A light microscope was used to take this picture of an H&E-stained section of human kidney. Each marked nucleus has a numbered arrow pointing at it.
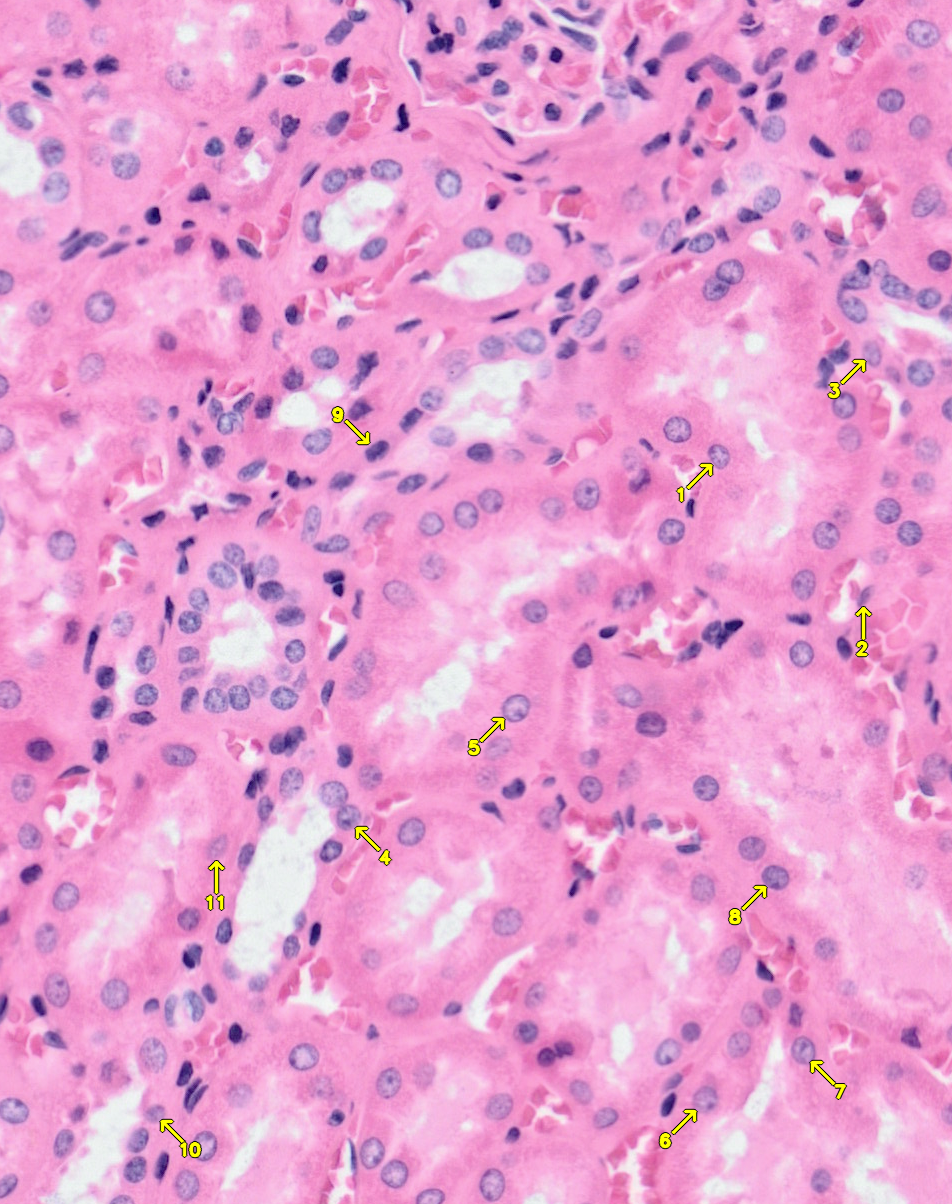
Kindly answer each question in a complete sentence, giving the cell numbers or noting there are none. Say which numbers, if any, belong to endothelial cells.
It is only cell 2 that is an endothelial cell among the numbered cells.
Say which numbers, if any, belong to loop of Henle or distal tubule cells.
Cells numbered 4 and 10 belong to the group of loop of Henle or distal tubule cells.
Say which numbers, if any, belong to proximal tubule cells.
In terms of cell type, cells 1, 5, 6, 7, 8 and 11 are proximal tubule cells.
